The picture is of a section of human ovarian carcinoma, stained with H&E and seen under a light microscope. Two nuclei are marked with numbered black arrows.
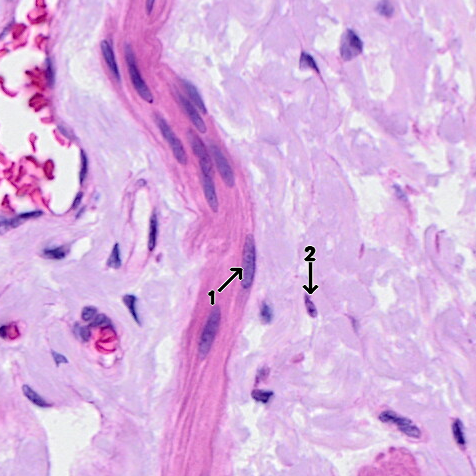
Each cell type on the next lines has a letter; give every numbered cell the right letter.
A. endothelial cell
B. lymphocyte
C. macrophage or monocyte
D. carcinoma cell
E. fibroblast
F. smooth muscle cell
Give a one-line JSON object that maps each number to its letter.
{"1": "F", "2": "E"}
